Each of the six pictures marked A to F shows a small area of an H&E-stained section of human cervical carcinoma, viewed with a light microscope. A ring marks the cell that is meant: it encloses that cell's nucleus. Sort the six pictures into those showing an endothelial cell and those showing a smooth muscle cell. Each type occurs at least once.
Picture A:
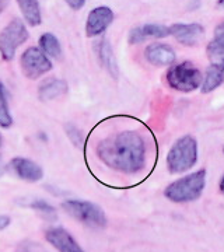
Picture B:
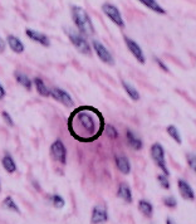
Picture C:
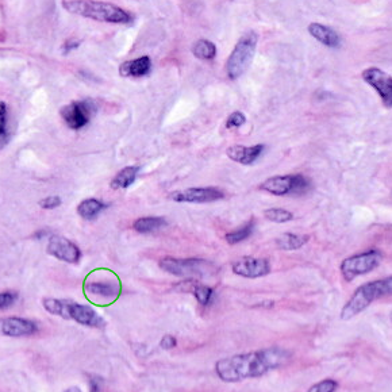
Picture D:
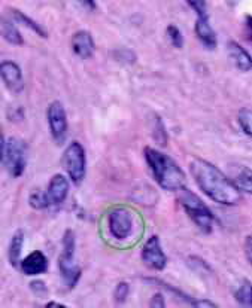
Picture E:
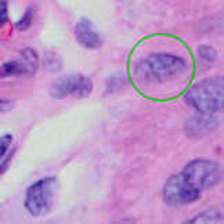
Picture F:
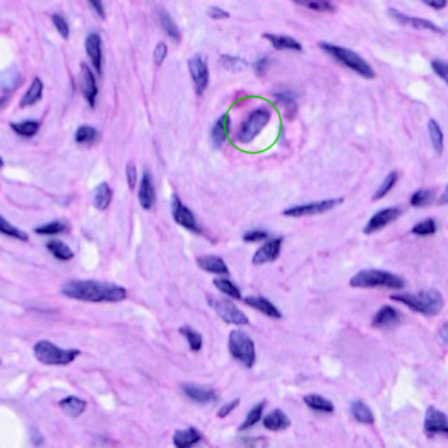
A: endothelial cell
B: smooth muscle cell
C: smooth muscle cell
D: smooth muscle cell
E: smooth muscle cell
F: endothelial cell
